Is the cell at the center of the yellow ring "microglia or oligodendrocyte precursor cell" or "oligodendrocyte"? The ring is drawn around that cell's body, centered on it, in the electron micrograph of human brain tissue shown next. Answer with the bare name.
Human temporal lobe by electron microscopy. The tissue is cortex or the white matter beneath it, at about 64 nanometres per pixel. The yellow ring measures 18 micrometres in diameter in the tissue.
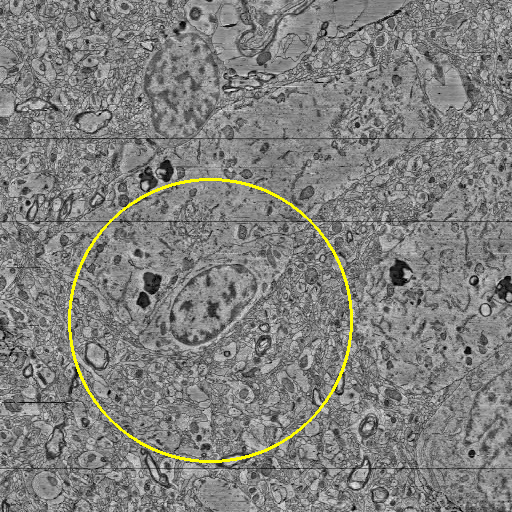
microglia or oligodendrocyte precursor cell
